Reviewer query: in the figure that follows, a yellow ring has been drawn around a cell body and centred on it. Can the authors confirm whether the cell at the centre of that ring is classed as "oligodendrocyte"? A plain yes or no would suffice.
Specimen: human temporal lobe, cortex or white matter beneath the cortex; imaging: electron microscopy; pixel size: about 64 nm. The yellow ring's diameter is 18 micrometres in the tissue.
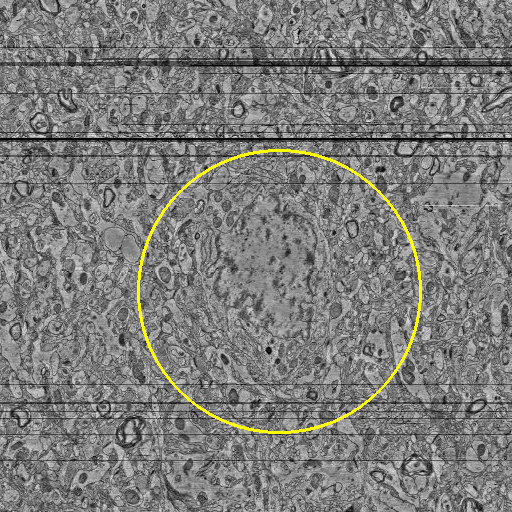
no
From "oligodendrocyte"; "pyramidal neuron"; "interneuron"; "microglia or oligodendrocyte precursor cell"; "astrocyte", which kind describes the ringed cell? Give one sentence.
The cell at the middle of the ring is an interneuron.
